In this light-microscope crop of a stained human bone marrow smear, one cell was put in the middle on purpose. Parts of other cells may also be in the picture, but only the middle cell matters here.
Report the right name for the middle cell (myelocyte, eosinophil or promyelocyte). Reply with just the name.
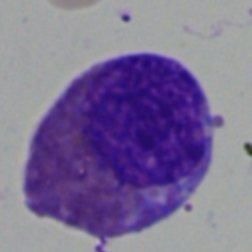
eosinophil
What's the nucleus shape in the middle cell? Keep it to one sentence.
Its nucleus is compact and single, with a round, oval or kidney-shaped form.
